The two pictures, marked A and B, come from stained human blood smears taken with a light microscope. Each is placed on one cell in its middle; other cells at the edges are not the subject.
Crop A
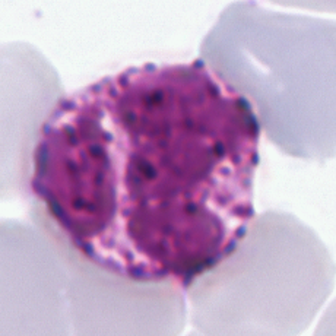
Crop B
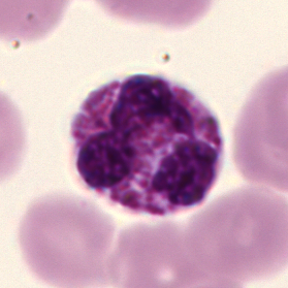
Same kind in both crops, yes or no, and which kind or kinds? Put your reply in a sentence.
No, it is a basophil that crop A shows, and an eosinophil that crop B shows.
